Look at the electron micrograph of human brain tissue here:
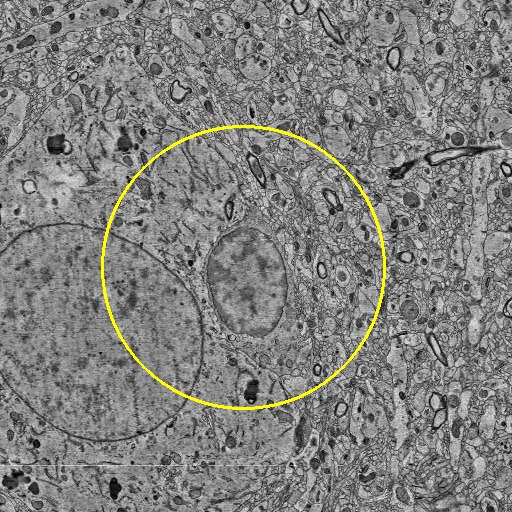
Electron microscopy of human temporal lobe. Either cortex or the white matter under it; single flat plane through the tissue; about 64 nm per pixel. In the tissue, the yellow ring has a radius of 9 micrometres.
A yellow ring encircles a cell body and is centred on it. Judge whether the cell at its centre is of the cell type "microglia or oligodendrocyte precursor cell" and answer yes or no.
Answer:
no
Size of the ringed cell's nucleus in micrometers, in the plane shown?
In this plane, the nucleus is roughly 7 by 5 micrometres.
